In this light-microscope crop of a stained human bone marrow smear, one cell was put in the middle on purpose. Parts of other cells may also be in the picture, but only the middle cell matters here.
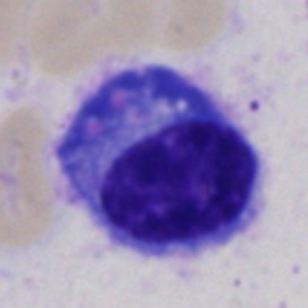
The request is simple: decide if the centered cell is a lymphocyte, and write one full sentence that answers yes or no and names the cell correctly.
No, that guess of a lymphocyte misses; the central cell is a plasma cell.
